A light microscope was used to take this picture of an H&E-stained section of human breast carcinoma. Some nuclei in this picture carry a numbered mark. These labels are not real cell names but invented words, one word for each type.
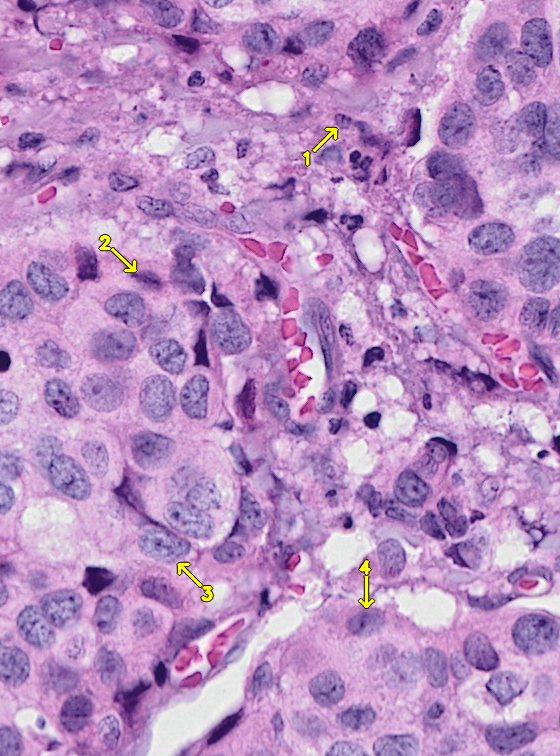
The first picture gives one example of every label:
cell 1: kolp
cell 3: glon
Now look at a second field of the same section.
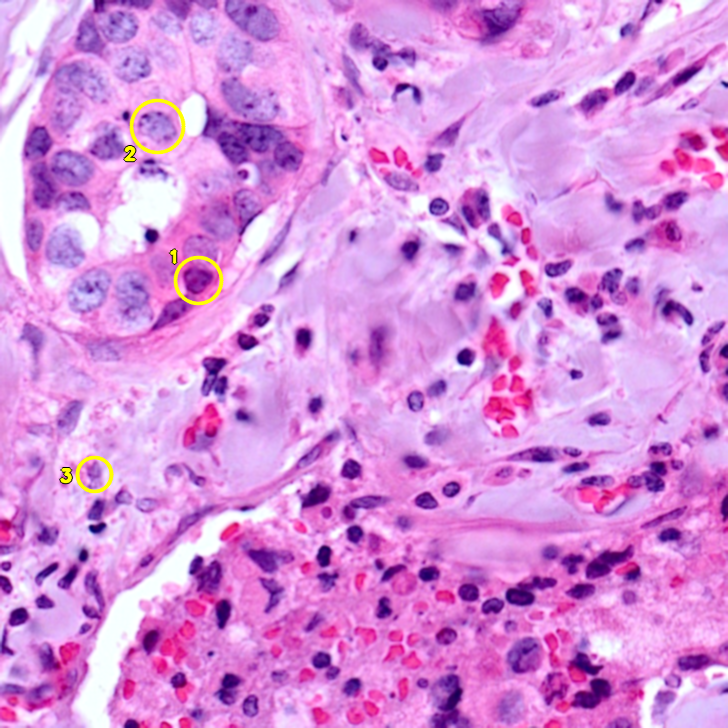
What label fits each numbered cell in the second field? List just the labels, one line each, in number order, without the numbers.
glon
glon
kolp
